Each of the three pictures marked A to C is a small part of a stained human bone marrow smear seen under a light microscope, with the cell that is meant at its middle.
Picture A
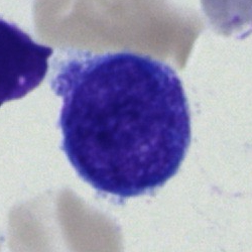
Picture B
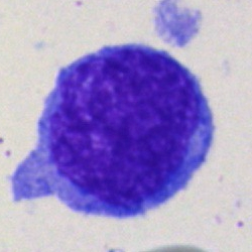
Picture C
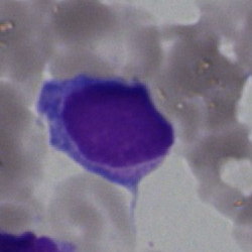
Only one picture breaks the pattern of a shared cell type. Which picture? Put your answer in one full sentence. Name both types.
Picture C differs, because its cell is a lymphocyte and the rest are blasts.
